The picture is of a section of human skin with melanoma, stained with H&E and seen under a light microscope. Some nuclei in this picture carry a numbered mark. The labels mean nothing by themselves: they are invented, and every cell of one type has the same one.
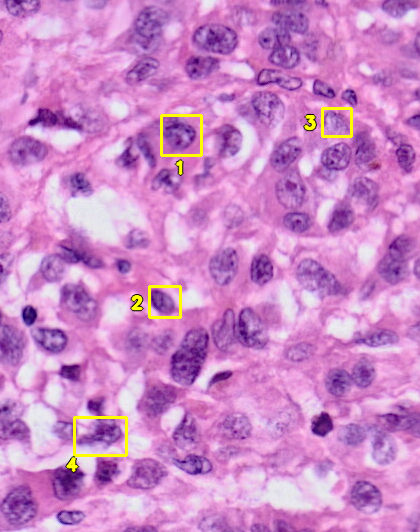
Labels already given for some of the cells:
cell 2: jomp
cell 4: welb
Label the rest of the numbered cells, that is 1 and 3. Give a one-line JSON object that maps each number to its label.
{"1": "welb", "3": "welb"}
